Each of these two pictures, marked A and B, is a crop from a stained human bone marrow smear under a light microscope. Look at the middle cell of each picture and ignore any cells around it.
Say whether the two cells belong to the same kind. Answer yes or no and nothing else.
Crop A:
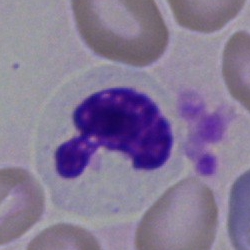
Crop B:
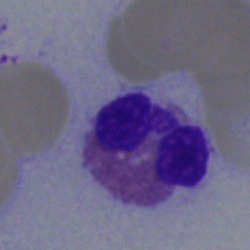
no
